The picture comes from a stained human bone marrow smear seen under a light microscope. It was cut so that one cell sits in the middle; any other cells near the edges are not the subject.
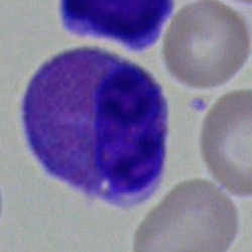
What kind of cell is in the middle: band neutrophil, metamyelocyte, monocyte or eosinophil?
eosinophil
